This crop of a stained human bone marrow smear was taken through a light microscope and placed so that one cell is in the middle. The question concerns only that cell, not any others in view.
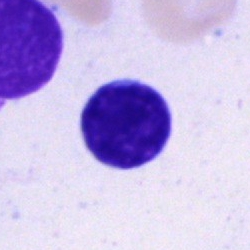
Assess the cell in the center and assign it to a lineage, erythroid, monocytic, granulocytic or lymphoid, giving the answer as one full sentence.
The cell at the center of this crop is of lymphoid lineage.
